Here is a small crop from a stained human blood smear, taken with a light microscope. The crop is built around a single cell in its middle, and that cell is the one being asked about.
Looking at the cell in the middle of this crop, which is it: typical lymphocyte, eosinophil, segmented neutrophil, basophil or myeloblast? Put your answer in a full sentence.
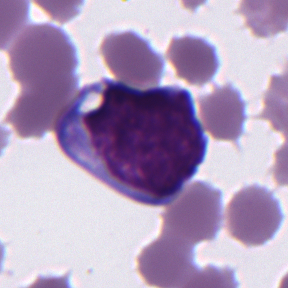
The cell around which this crop is centred is a typical lymphocyte.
